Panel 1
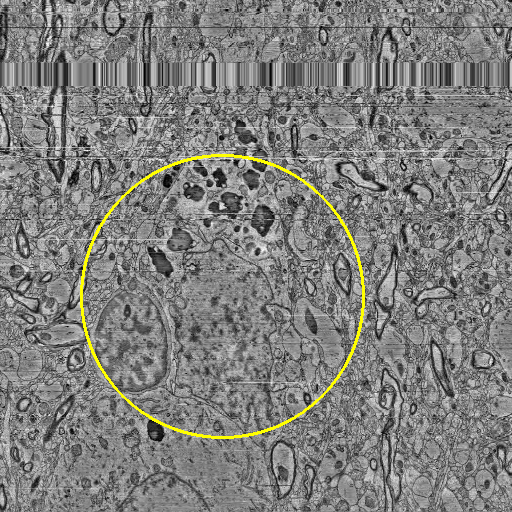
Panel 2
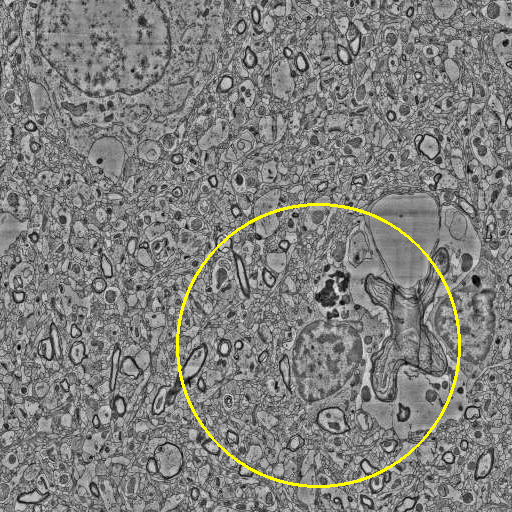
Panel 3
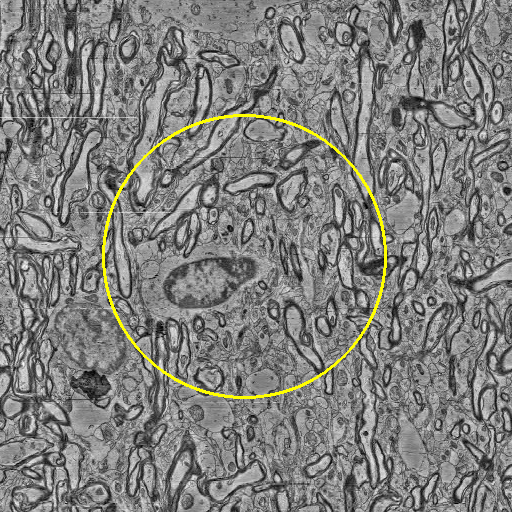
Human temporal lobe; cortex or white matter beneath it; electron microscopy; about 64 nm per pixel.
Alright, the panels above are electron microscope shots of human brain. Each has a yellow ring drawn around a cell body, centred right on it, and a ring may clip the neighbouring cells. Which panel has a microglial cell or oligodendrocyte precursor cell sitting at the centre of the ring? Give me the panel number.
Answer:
3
